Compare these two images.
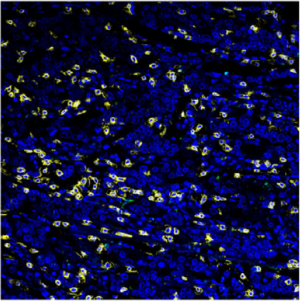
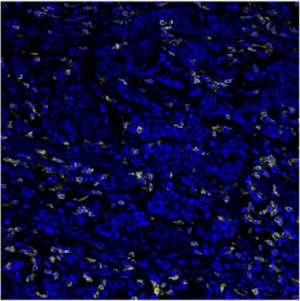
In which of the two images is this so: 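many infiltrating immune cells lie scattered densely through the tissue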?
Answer: The first image.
